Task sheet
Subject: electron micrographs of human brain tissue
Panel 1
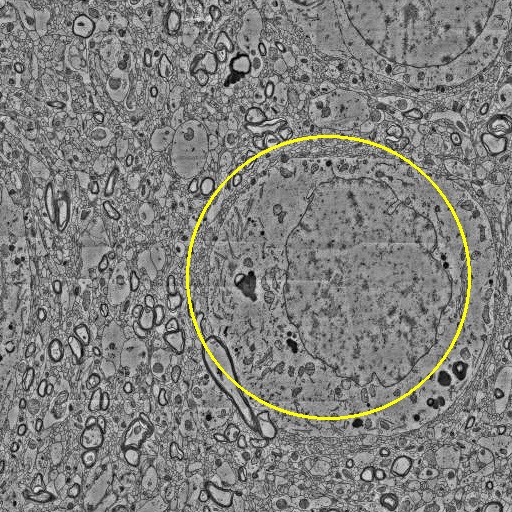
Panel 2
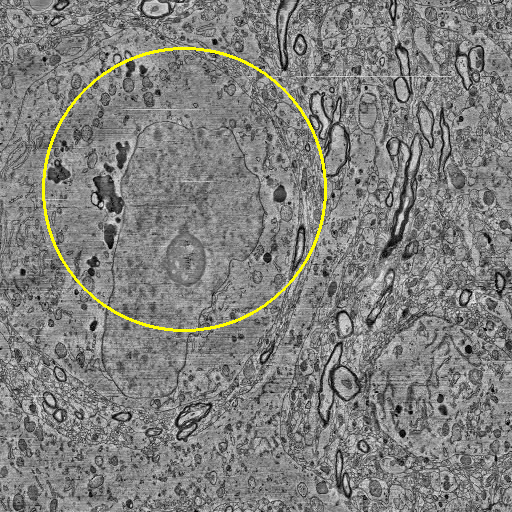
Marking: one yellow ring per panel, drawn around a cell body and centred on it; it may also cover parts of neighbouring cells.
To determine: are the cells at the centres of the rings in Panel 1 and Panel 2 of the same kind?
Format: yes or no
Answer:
yes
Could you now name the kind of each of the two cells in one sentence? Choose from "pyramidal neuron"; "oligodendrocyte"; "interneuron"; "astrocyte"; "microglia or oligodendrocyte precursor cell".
In the first picture and in the second, the ring is centred on a pyramidal neuron.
